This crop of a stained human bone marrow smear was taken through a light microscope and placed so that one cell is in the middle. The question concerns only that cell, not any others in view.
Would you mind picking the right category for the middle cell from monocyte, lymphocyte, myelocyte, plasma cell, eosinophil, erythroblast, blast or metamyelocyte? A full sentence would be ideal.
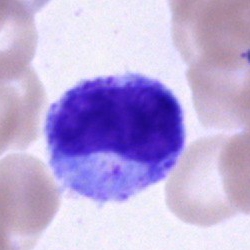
By classification, the middle cell of this crop is a metamyelocyte.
